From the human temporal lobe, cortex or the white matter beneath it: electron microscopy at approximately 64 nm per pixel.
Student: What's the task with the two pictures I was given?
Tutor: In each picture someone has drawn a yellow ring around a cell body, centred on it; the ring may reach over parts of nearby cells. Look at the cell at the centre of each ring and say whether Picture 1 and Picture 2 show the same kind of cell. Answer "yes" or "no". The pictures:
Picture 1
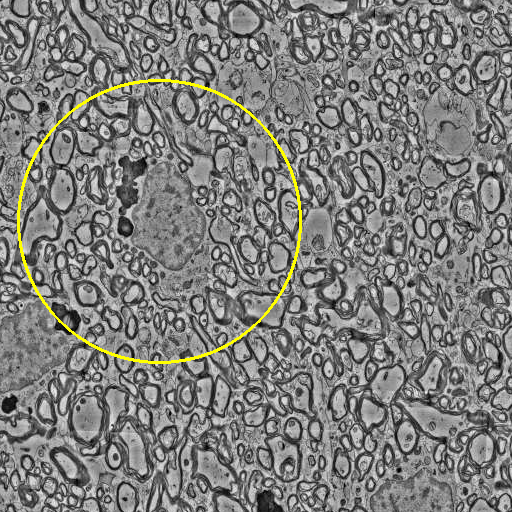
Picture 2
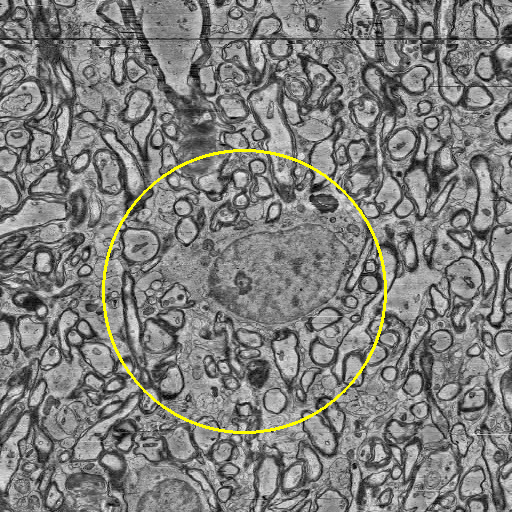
yes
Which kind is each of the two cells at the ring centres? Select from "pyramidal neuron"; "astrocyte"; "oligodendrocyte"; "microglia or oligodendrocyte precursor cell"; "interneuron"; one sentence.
Both rings mark an oligodendrocyte, one in each picture.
